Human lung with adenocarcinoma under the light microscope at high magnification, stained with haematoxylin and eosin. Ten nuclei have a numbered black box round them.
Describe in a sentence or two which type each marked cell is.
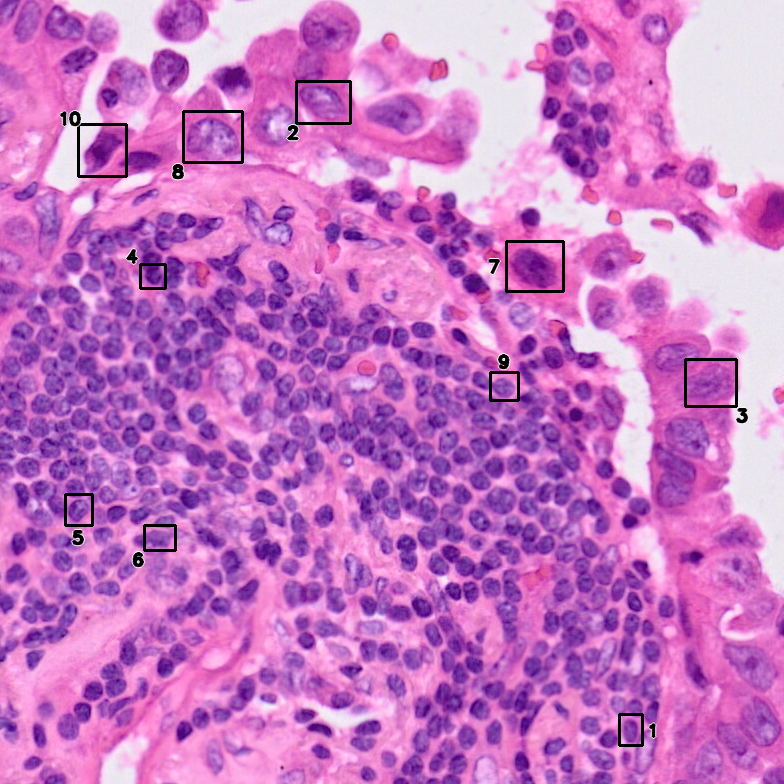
Cell 1 is a lymphocyte, cell 2 is a carcinoma cell, cell 3 is a carcinoma cell, cell 4 is a lymphocyte, cell 5 is a lymphocyte, cell 6 is a lymphocyte, cell 7 is a carcinoma cell, cell 8 is a carcinoma cell, cell 9 is a lymphocyte and cell 10 is a carcinoma cell.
